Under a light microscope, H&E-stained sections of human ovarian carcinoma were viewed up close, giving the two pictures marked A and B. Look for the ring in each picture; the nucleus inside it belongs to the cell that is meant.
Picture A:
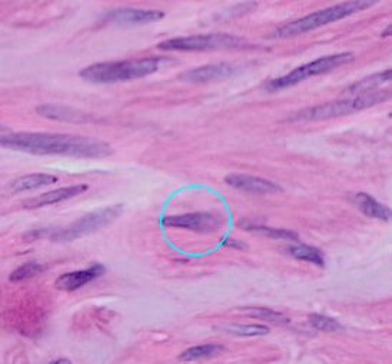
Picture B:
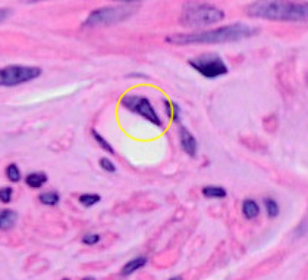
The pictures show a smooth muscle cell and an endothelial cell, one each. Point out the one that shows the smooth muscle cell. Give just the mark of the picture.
A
